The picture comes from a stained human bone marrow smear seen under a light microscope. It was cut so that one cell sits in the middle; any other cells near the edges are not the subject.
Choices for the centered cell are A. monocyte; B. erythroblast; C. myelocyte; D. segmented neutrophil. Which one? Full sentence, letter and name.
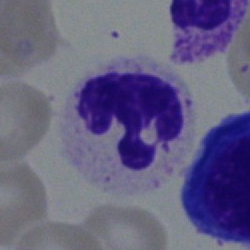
Well, the cell in the middle is a segmented neutrophil, making option D right.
